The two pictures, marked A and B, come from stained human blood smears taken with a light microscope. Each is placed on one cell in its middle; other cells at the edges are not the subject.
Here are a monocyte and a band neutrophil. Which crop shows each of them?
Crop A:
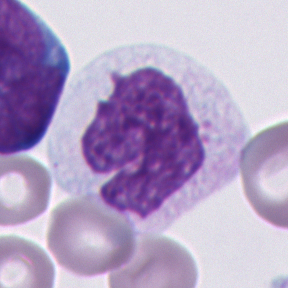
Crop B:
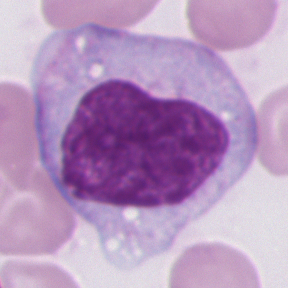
A: band neutrophil
B: monocyte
